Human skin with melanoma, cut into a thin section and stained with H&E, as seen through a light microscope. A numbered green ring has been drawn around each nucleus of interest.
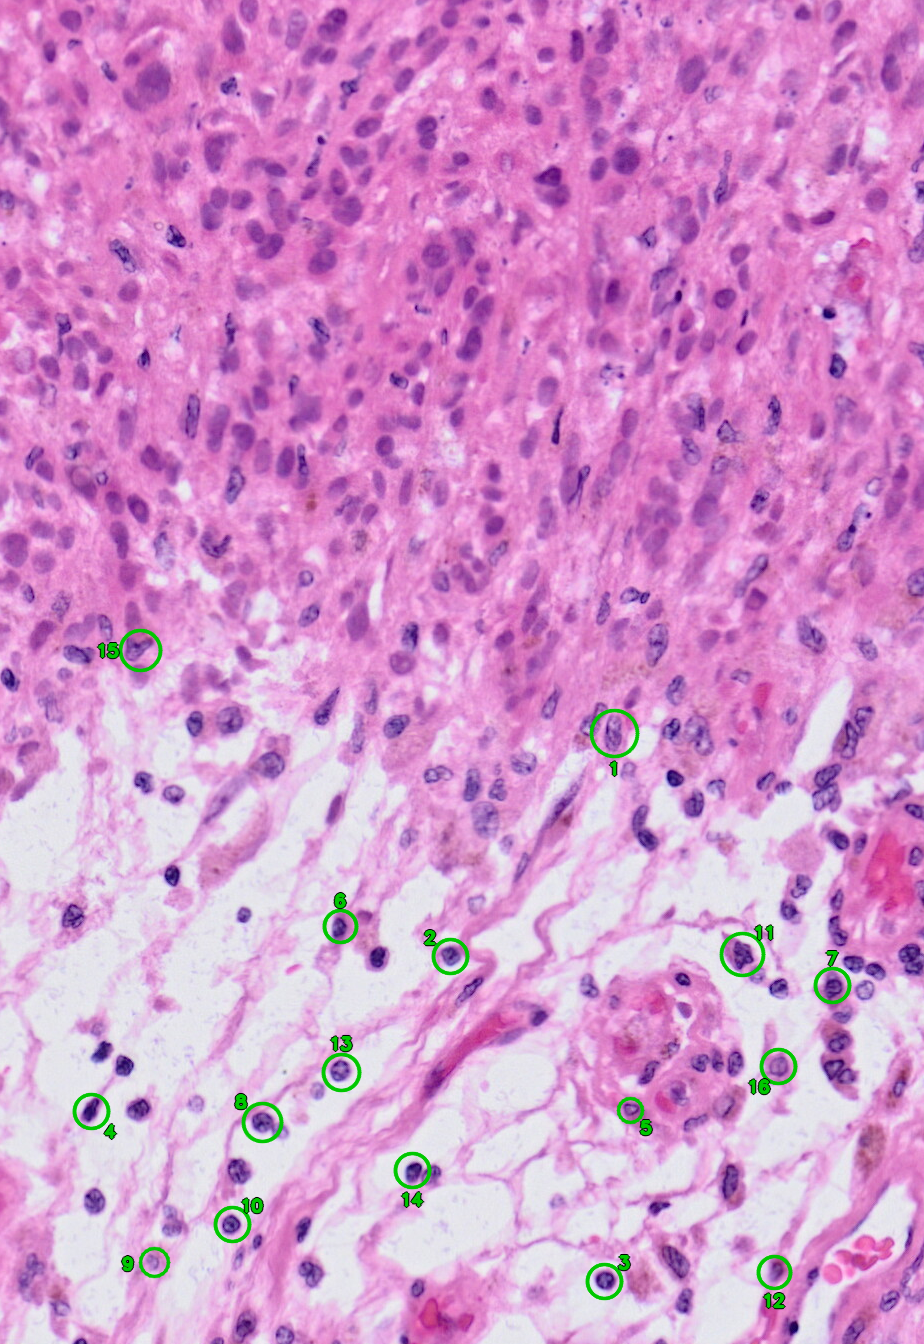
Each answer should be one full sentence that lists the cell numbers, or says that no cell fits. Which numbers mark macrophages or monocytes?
Cells 1, 5, 6, 7, 9, 11, 12, 15 and 16 are macrophages or monocytes by cell type.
